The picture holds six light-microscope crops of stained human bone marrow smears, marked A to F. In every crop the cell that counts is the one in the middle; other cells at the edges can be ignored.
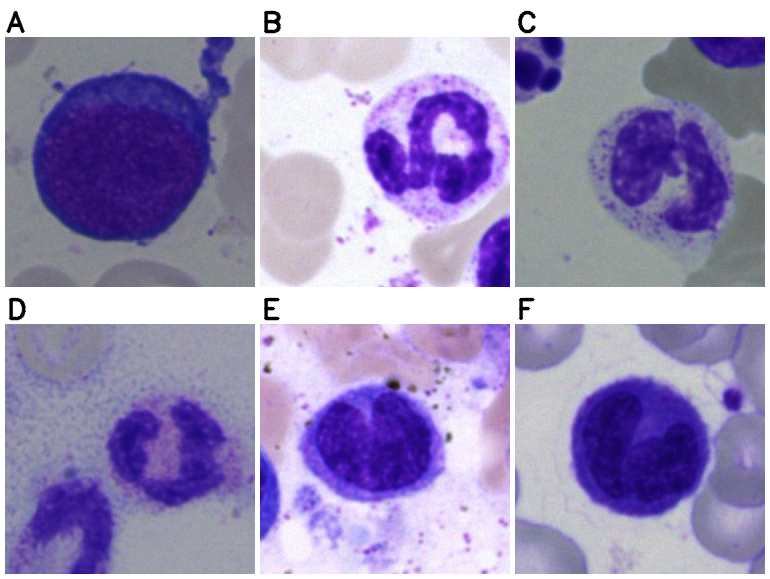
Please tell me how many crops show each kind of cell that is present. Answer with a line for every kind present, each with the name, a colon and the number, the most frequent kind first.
segmented neutrophil: 3
monocyte: 2
proerythroblast: 1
